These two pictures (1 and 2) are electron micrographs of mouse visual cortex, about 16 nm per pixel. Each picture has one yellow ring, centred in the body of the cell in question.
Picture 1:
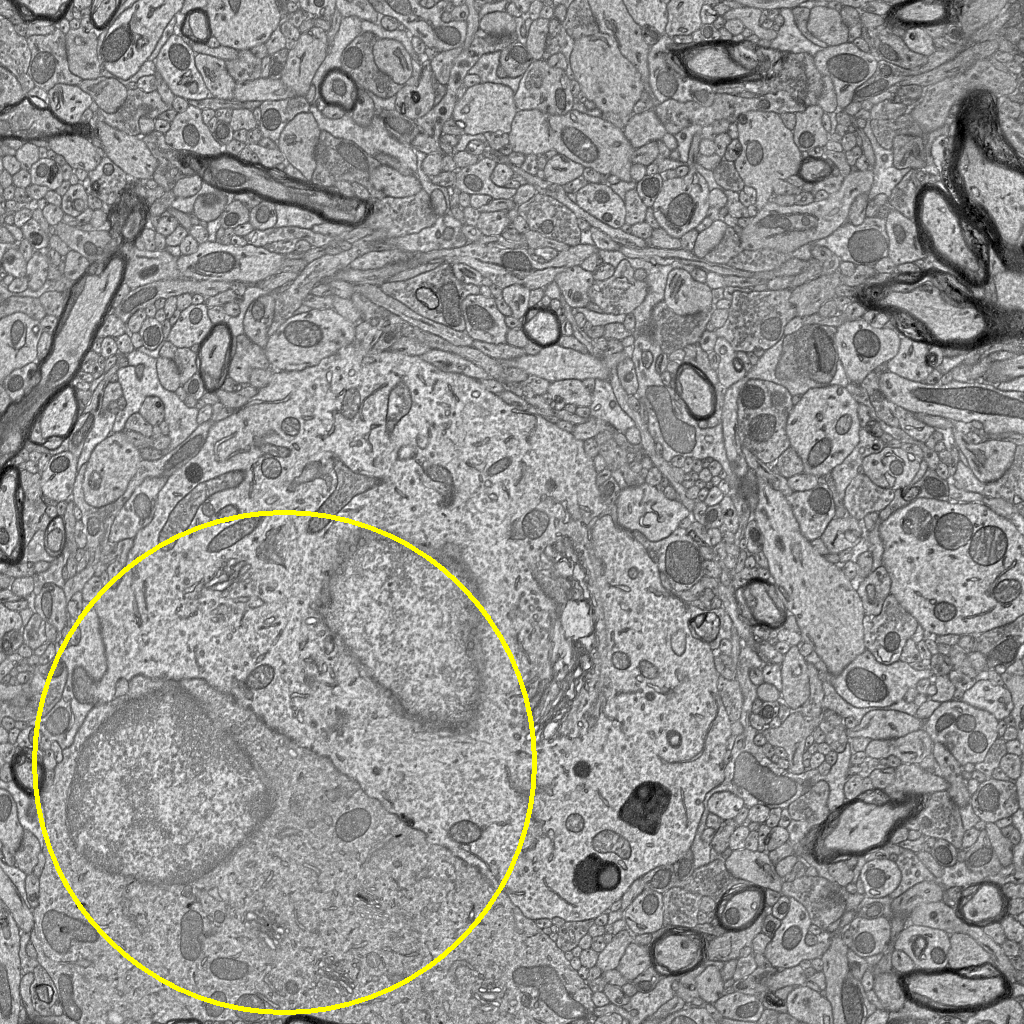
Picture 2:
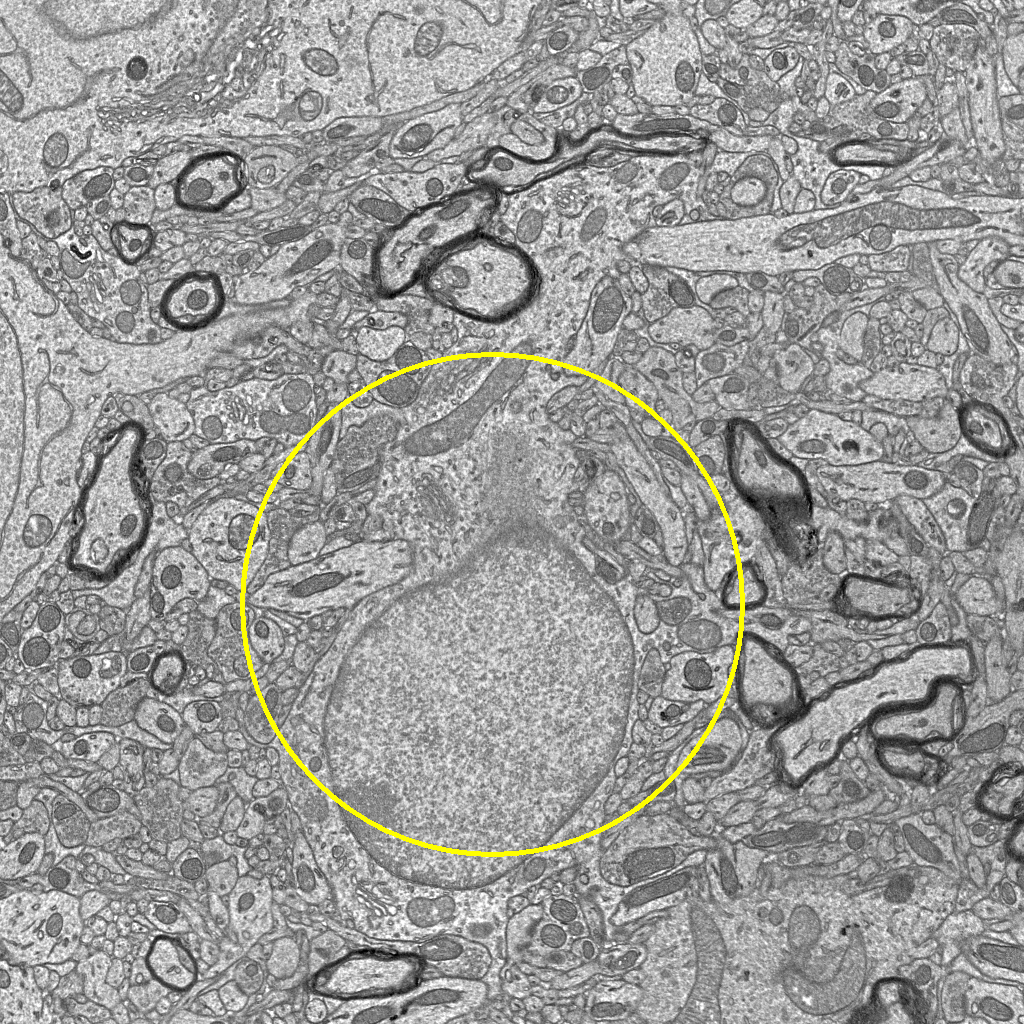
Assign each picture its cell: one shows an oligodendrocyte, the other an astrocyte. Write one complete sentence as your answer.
The cell in picture 1 is an oligodendrocyte, and the one in picture 2 is an astrocyte.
